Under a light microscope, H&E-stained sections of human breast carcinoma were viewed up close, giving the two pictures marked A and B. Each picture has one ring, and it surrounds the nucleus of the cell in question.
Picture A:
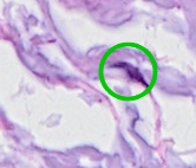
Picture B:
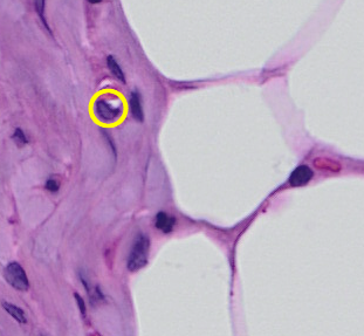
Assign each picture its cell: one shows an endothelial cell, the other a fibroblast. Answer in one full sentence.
Picture A is of a fibroblast, and picture B is of an endothelial cell.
